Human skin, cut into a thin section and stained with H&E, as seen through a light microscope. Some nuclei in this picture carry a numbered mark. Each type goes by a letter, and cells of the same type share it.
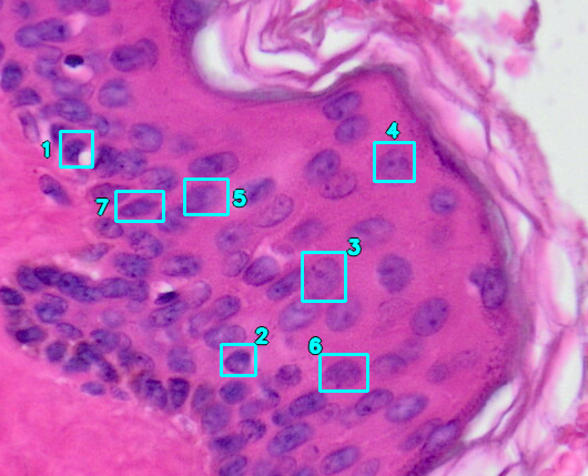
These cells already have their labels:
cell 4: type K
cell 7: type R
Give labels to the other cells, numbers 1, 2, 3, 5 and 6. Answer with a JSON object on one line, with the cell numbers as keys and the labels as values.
{"1": "type R", "2": "type R", "3": "type K", "5": "type K", "6": "type K"}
